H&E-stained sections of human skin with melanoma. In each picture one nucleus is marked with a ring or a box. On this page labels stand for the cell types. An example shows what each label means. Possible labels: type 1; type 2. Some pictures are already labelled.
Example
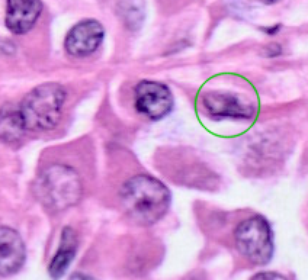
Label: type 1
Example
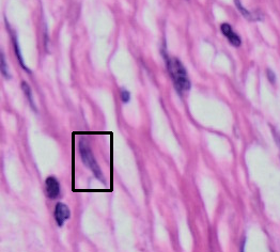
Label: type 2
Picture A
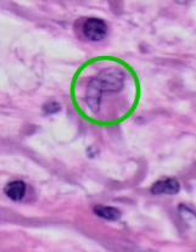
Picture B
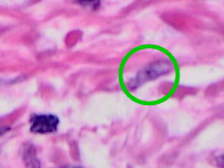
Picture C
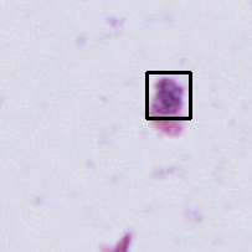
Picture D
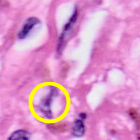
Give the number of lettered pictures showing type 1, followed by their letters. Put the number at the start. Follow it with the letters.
1: C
